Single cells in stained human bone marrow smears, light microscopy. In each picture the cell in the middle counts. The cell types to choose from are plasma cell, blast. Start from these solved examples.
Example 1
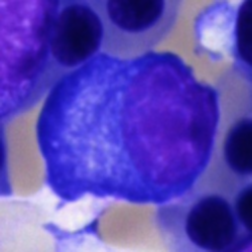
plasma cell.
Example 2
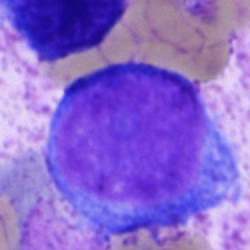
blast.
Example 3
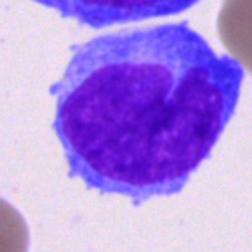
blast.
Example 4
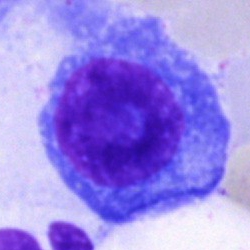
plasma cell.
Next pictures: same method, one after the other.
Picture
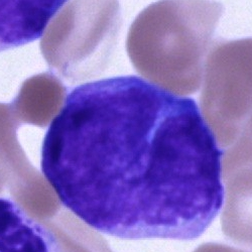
blast.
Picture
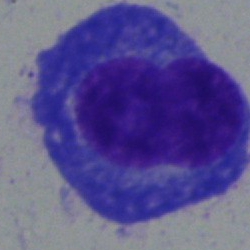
plasma cell.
